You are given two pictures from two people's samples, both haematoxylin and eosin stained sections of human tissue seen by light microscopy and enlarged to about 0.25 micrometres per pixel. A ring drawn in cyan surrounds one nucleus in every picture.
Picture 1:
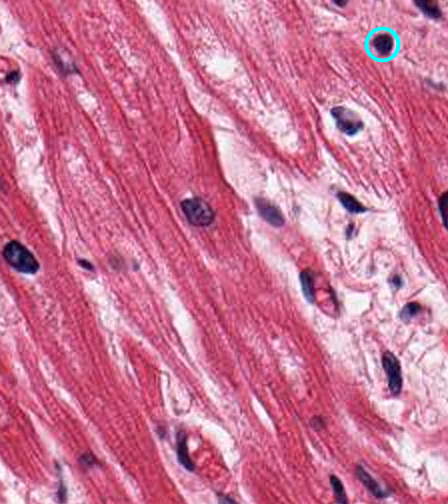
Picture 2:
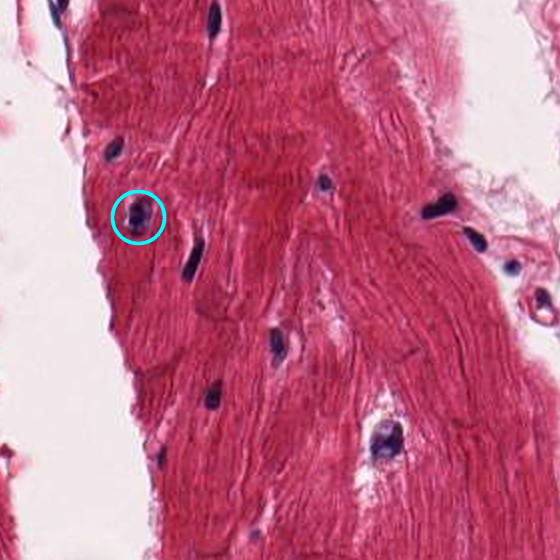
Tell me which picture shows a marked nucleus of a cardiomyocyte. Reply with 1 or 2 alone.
2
